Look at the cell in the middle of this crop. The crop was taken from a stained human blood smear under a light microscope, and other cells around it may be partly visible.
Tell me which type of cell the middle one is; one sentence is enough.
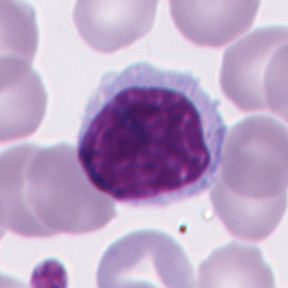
The central cell shown in this smear crop is a lymphocyte.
